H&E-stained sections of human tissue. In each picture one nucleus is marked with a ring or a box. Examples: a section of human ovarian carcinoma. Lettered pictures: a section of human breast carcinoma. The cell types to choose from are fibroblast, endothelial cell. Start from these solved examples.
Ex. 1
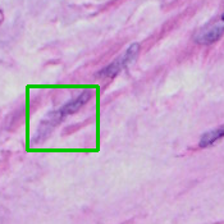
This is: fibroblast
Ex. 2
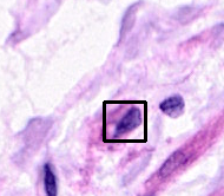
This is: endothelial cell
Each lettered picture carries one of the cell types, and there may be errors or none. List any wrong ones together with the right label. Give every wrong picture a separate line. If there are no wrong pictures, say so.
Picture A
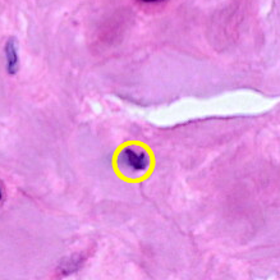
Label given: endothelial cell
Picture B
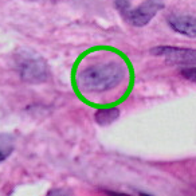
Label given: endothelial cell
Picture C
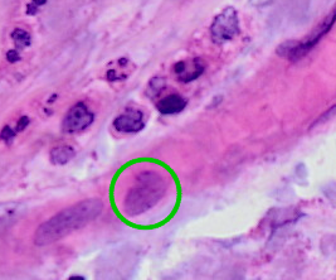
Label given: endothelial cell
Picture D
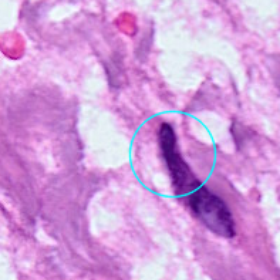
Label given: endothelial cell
A is labelled endothelial cell; correct label: fibroblast
D is labelled endothelial cell; correct label: fibroblast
